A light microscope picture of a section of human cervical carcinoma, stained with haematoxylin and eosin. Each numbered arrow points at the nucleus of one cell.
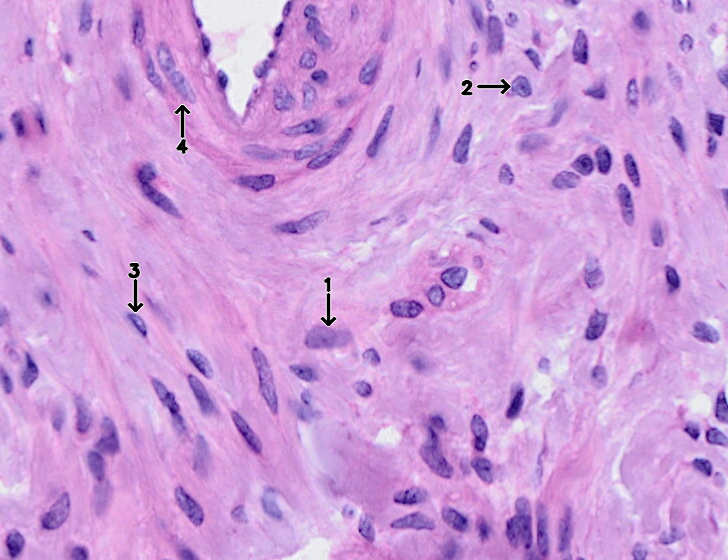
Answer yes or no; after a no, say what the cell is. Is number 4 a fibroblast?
No, it is a smooth muscle cell.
